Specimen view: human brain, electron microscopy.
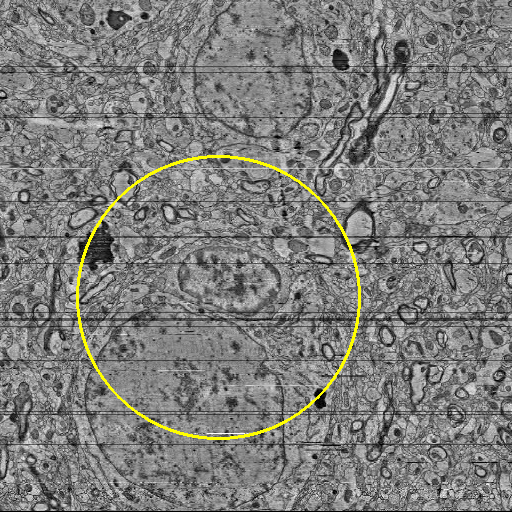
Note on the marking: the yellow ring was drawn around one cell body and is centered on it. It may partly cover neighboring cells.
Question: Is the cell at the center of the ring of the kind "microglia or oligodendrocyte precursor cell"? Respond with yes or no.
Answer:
no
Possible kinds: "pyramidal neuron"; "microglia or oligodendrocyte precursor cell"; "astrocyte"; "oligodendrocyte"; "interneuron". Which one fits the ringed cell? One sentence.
This picture has an oligodendrocyte at the centre of its ring.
